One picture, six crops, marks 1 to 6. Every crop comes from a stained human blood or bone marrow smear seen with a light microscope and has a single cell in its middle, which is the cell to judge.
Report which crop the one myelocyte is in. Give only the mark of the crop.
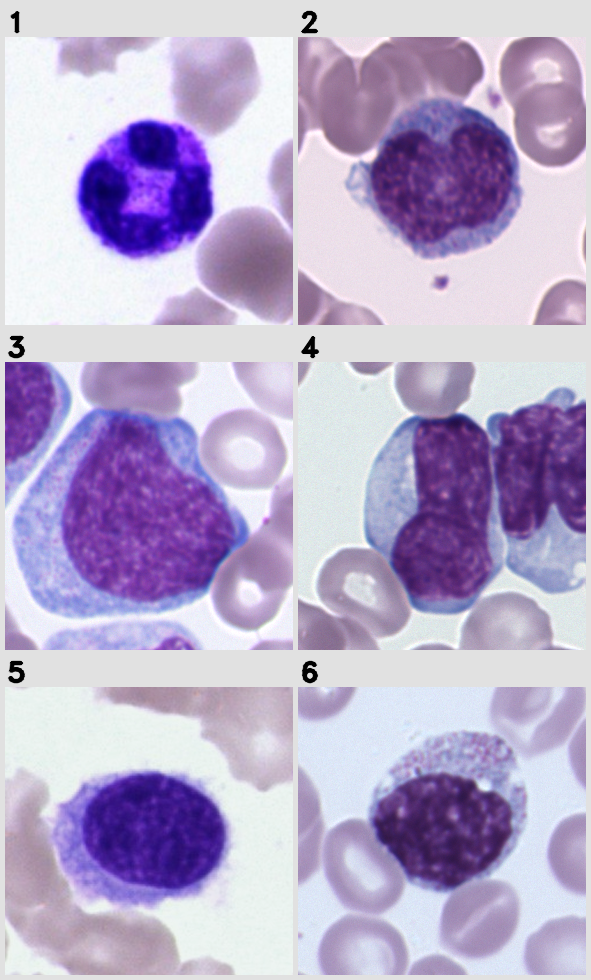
6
